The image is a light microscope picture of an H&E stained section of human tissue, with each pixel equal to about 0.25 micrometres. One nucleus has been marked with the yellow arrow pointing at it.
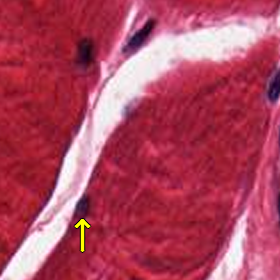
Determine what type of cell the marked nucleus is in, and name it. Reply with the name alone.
skeletal muscle fibre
